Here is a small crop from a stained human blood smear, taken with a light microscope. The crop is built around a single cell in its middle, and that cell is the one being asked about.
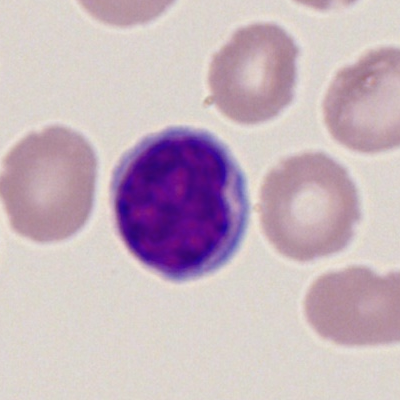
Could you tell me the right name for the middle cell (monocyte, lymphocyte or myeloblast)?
lymphocyte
